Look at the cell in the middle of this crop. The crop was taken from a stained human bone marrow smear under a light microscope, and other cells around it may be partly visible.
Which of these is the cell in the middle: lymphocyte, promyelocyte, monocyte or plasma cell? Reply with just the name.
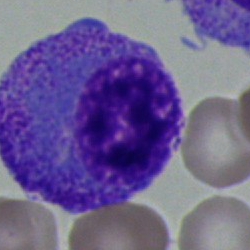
promyelocyte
